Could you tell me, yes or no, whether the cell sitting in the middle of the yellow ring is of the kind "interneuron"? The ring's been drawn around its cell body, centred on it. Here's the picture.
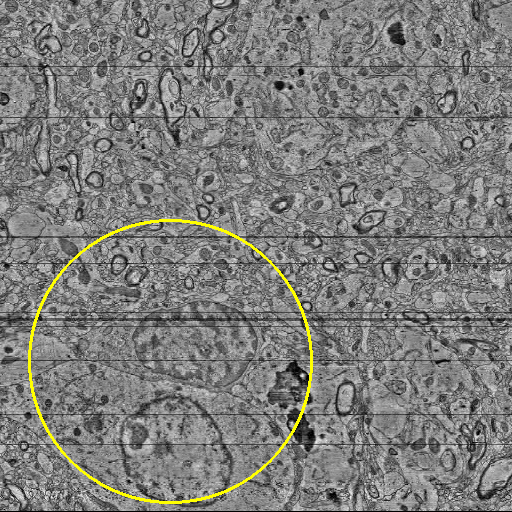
No, it is of another kind.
